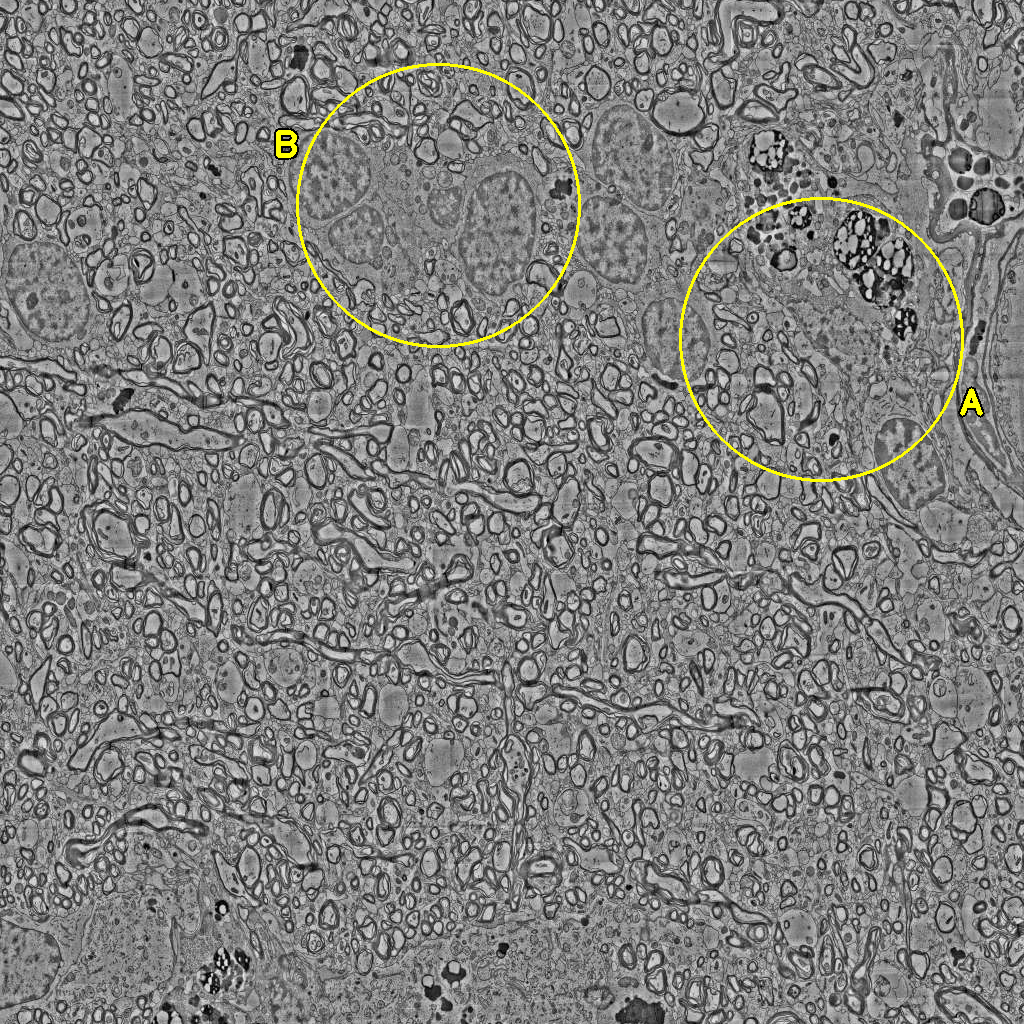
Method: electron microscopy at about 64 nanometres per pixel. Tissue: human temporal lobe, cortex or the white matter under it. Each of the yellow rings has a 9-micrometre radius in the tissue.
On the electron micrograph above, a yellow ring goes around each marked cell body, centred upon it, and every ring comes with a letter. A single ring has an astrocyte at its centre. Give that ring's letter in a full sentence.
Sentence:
The ring holding the cell asked for at its centre bears the letter A.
